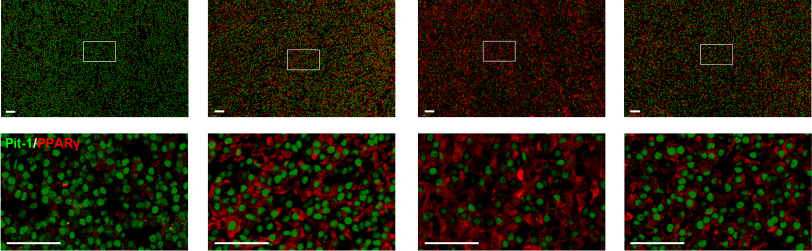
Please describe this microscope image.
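Fluorescence images of pituitary gland tissue, shown as wide fields above and enlarged areas below. The tissue is densely packed with cells whose round to oval nuclei glow green. Red fluorescence lies in the cytoplasm between and around the nuclei, faint in some fields and bright and widespread in others.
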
